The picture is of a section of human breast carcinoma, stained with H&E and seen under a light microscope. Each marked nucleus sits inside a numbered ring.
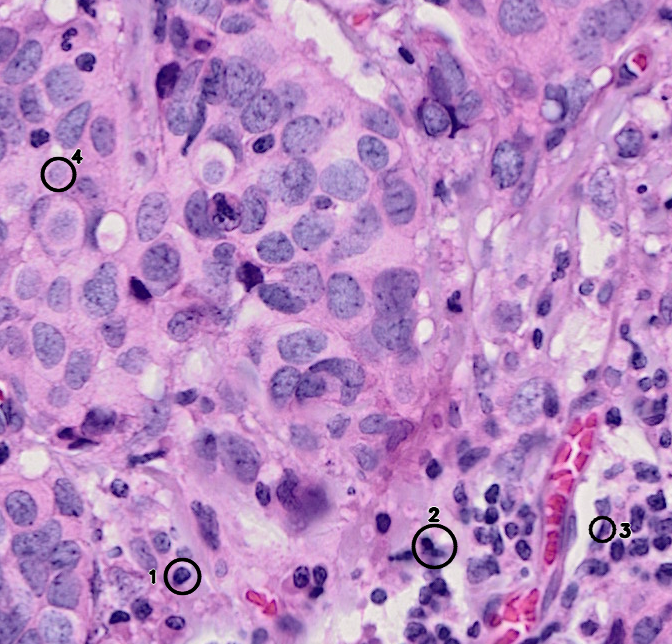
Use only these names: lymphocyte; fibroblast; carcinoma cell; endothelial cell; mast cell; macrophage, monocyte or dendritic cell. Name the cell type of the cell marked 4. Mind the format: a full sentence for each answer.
At number 4, the marked cell is a carcinoma cell.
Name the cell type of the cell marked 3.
Denoted by the label 3 in the section is a lymphocyte.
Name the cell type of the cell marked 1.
The cell that bears the number 1 is a lymphocyte.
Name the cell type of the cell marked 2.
Denoted by the label 2 in the section is a lymphocyte.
